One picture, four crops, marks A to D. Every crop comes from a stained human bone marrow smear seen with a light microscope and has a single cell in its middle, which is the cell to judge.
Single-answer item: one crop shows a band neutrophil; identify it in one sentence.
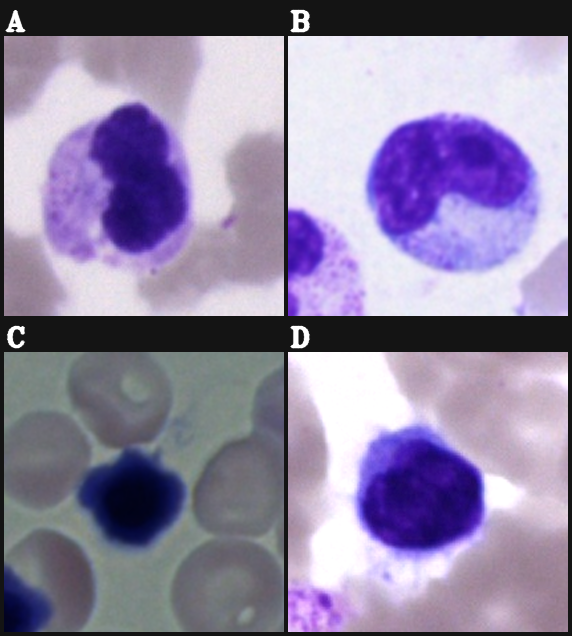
Of the labelled crops, the one that shows a band neutrophil is crop B.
